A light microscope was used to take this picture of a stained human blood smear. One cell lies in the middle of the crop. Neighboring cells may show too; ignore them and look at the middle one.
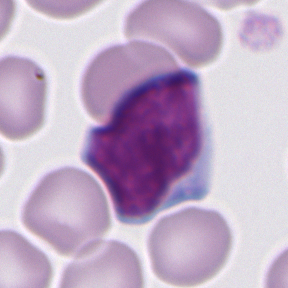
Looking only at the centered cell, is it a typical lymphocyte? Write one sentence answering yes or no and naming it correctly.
Yes, the cell in the center of this crop is a typical lymphocyte.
